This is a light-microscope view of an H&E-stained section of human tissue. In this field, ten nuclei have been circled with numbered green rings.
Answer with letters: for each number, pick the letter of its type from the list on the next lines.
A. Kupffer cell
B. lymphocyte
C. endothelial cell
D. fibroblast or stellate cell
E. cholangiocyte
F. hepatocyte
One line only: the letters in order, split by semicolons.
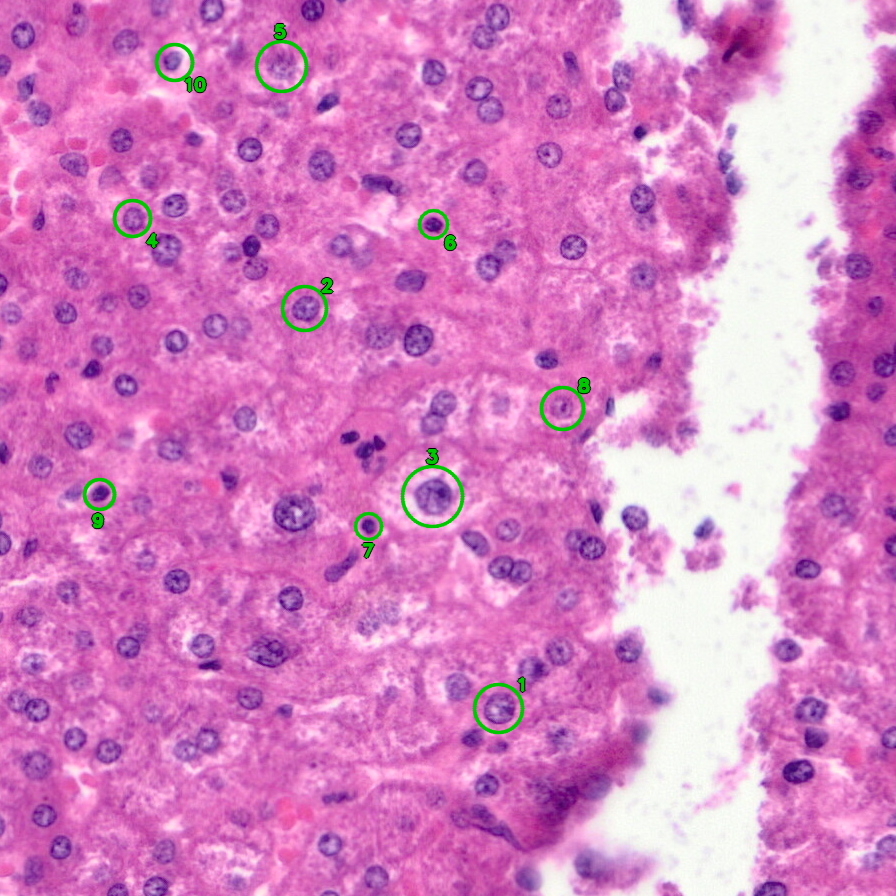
F; F; F; F; F; B; B; F; B; B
